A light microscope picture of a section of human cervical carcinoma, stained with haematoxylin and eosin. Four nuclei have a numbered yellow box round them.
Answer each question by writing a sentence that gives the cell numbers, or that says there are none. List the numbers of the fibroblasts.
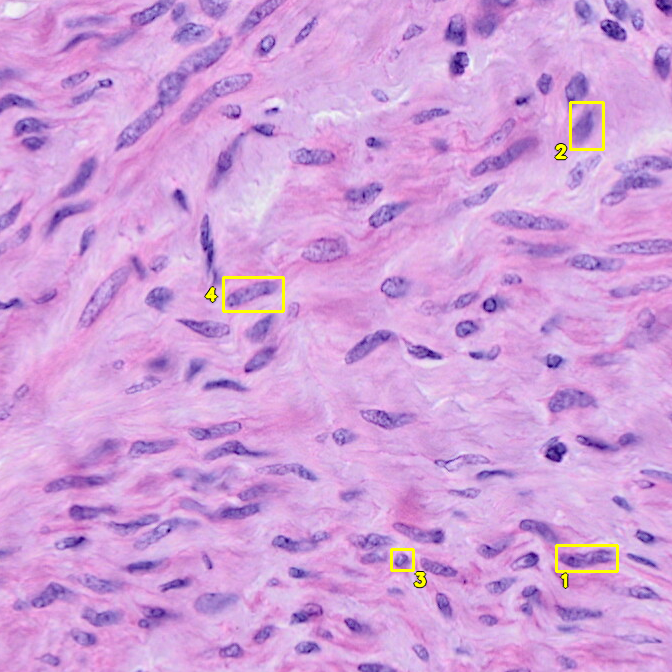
Being a fibroblast is true of cell 2 and of no other numbered cell.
